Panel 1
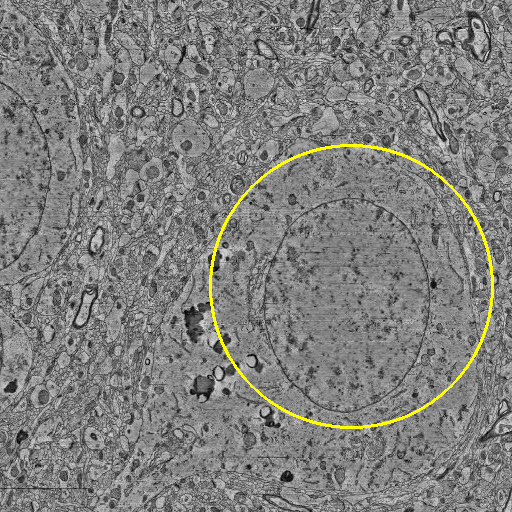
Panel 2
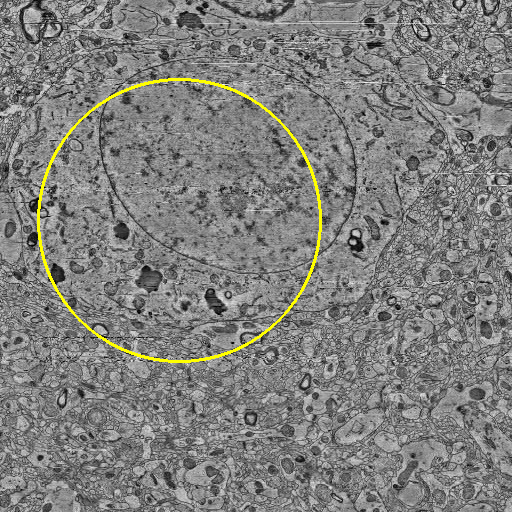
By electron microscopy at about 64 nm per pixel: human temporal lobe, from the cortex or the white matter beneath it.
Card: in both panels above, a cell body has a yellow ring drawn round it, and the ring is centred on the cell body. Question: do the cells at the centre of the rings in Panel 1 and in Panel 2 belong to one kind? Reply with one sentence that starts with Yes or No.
Yes, the cells centred in the rings of Panel 1 and Panel 2 are one kind of cell.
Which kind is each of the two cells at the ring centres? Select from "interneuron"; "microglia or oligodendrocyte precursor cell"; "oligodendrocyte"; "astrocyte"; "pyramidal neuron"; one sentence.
Both pictures show a pyramidal neuron at the centre of the ring.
